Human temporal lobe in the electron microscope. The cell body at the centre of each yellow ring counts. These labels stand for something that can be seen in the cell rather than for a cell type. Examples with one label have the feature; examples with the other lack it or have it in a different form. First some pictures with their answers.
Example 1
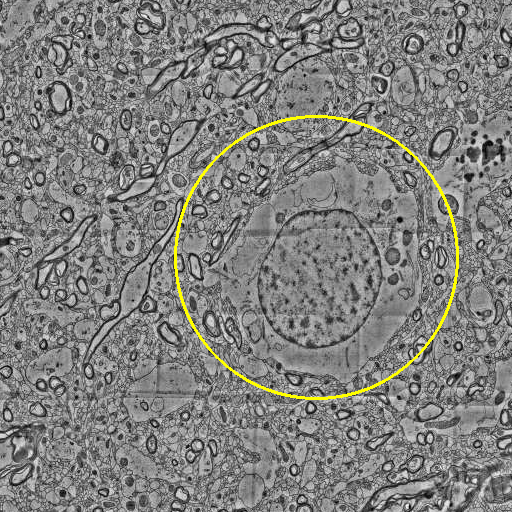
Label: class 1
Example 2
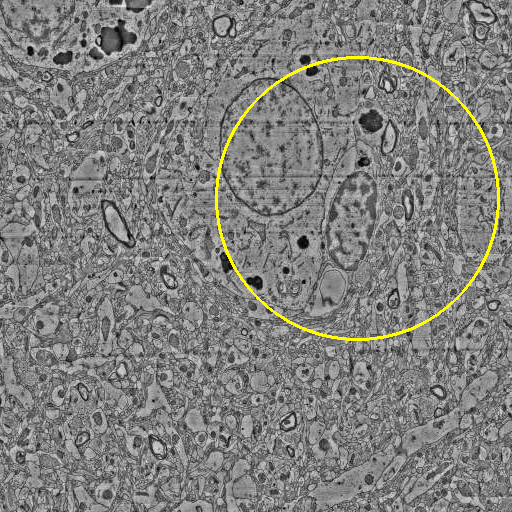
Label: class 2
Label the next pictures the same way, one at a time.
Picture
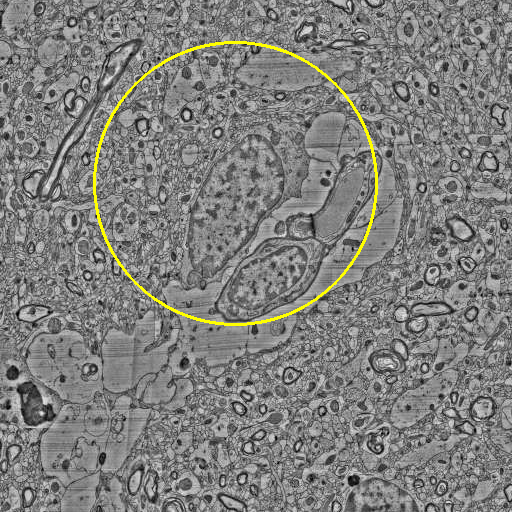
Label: class 2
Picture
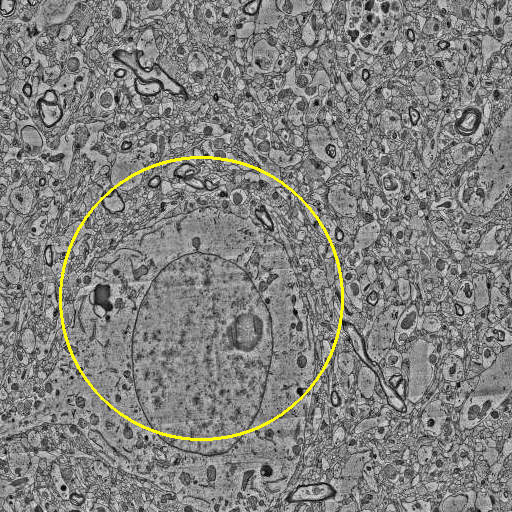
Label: class 2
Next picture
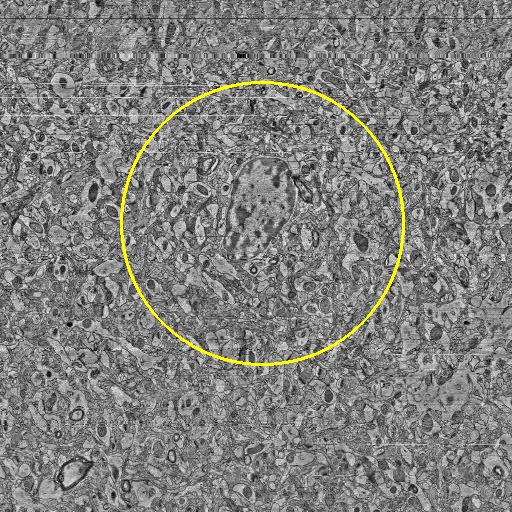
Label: class 2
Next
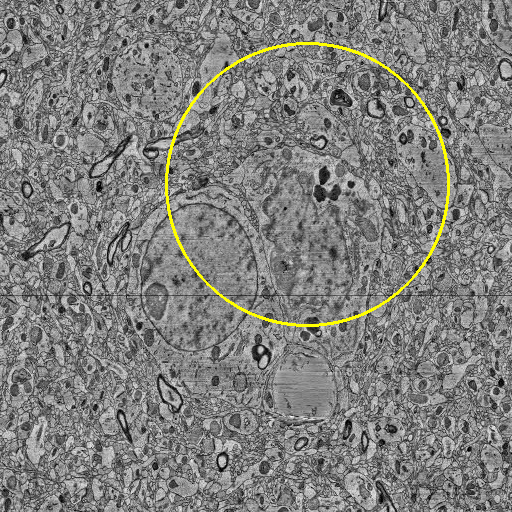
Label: class 2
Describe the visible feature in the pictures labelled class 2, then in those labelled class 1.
In class 2: clearly elongated nuclei. In class 1: round or nearly round nuclei.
